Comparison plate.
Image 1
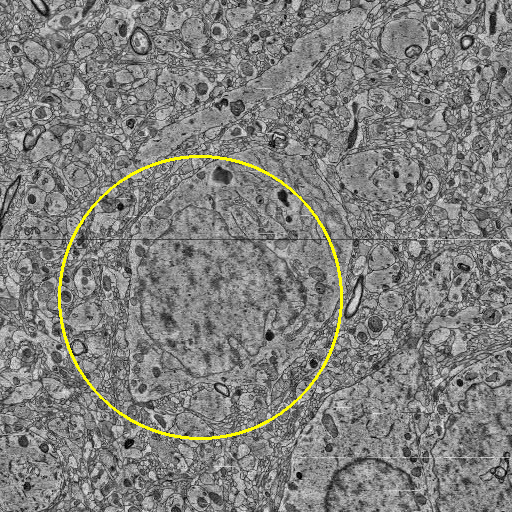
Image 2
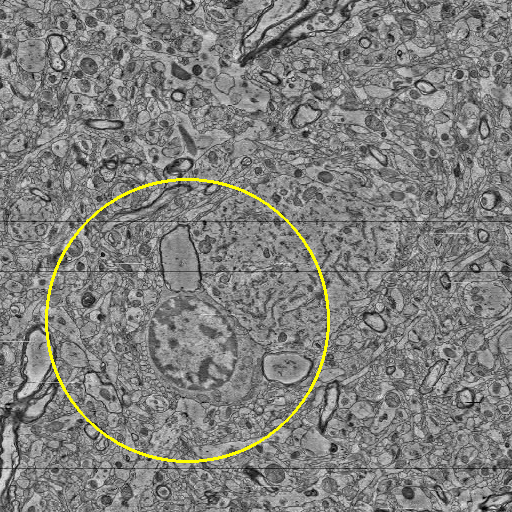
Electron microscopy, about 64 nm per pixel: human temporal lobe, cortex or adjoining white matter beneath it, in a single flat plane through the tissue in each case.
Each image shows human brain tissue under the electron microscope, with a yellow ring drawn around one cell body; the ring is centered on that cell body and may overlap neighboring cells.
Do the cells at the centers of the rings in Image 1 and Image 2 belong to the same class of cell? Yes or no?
no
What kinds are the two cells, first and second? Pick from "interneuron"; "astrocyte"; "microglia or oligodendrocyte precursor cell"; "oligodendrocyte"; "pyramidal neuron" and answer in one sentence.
The second picture holds an oligodendrocyte in its ring, and the first holds an interneuron.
